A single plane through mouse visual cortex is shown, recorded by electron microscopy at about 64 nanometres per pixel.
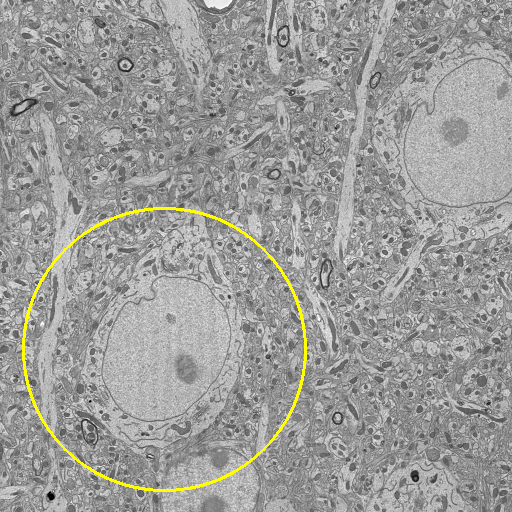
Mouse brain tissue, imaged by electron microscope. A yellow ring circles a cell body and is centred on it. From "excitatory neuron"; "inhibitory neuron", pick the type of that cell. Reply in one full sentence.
The cell body at the centre of the yellow ring belongs to an excitatory neuron.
